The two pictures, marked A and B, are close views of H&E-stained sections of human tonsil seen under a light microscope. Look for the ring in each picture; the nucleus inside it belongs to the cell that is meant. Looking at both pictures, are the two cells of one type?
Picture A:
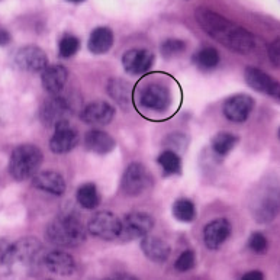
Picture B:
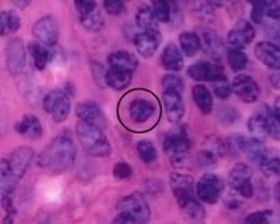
yes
